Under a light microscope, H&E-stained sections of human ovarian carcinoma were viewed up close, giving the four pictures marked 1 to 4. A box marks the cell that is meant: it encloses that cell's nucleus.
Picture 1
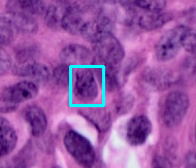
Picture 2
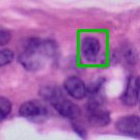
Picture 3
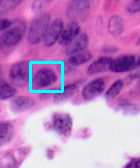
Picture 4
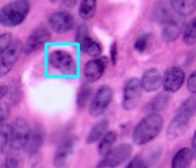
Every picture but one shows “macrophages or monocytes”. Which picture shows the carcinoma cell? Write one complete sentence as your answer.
The picture with the carcinoma cell is 3.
